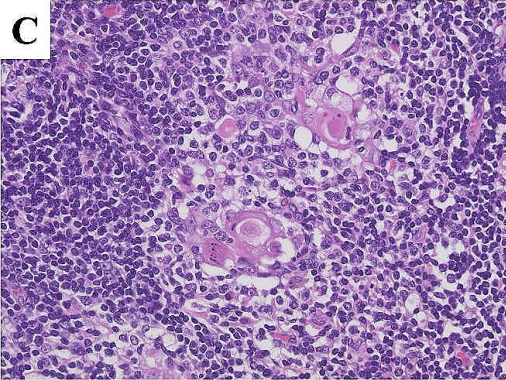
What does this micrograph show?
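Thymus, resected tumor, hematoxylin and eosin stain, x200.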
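Sheets of small round cells with dense dark nuclei and barely any cytoplasm fill the field; these are lymphocytes. In the middle lie two nests of larger cells with pale pink cytoplasm and paler oval nuclei, and within each a rounded body of pink, concentrically wrapped, keratinised material, one with a glassy pink core. These whorled pink bodies are Hassall corpuscles, formed by thymic epithelium, and the crowd of small dark lymphocytes presses close around them on all sides.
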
